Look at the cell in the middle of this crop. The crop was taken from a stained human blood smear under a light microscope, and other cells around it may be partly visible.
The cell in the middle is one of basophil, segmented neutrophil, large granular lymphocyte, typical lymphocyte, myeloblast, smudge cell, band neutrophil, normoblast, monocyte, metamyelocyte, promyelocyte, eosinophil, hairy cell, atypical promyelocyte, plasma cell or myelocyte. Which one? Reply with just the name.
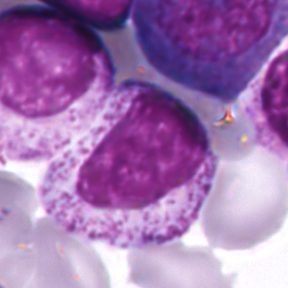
myelocyte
